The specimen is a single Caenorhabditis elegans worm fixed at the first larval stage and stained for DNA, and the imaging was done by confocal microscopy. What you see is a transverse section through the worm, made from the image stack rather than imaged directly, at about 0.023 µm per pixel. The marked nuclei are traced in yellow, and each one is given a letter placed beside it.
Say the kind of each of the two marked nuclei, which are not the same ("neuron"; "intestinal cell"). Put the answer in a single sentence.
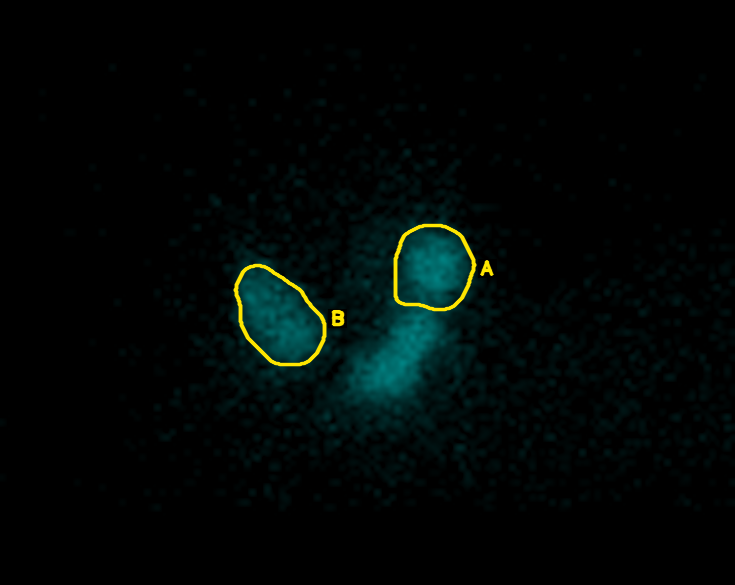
A is the nucleus of a neuron; B is the nucleus of an intestinal cell.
